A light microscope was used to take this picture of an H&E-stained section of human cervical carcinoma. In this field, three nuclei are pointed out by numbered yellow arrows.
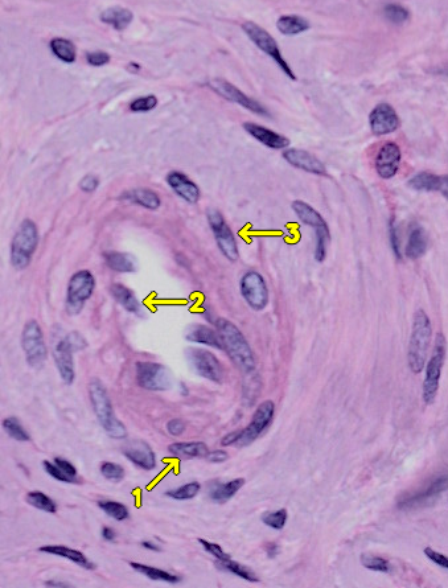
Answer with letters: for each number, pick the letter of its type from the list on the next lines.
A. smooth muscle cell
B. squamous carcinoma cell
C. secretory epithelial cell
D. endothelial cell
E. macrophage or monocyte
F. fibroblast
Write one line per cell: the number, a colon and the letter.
1: A
2: D
3: A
